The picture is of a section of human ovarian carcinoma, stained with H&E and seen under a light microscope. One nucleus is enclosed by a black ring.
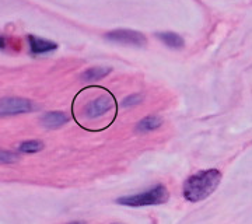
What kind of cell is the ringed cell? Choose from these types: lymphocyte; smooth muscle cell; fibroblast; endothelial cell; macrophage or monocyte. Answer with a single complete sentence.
For the purposes of cell typing, the ringed cell is categorized as a smooth muscle cell.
